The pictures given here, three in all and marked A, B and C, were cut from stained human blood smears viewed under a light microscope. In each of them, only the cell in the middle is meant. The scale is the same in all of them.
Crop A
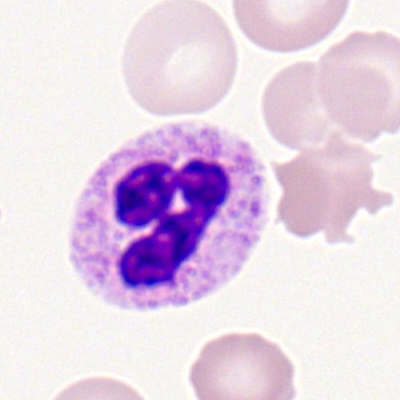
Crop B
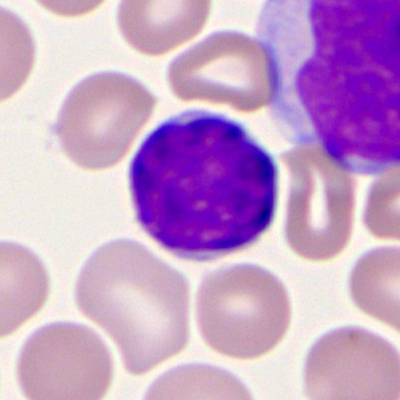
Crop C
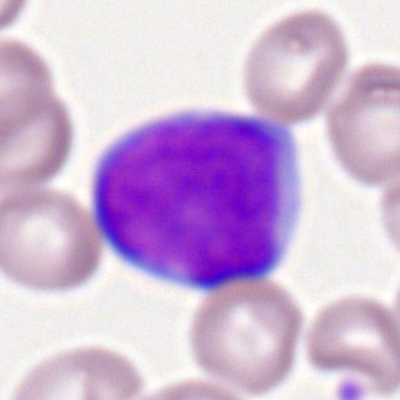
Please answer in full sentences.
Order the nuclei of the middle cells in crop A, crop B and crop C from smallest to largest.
Smallest first: A, B, C.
